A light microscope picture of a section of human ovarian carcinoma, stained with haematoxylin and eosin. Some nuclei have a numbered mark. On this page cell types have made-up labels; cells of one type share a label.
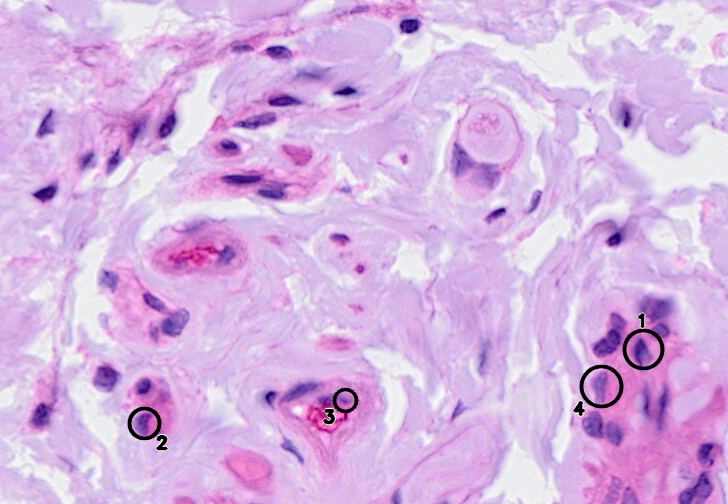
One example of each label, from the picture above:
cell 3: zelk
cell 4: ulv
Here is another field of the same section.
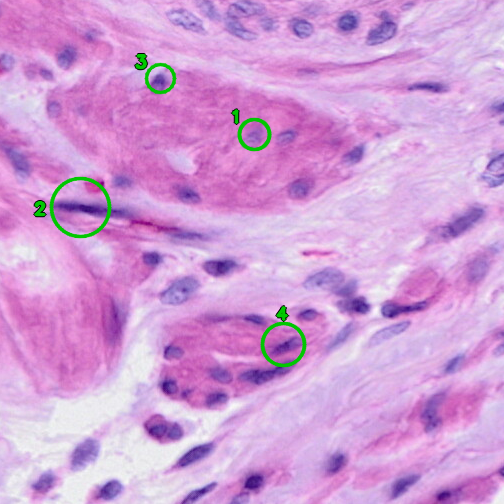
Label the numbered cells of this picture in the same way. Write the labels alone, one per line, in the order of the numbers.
ulv
zelk
ulv
ulv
